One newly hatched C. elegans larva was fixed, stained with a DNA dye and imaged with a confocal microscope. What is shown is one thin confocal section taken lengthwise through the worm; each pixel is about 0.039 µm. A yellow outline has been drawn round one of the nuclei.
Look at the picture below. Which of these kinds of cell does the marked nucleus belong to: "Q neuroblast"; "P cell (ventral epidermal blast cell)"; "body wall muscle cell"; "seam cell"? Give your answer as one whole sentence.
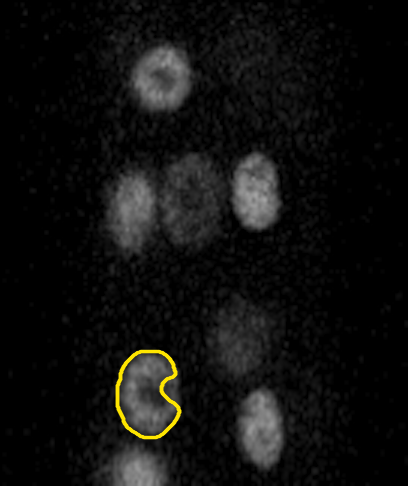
The nucleus comes from a seam cell.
